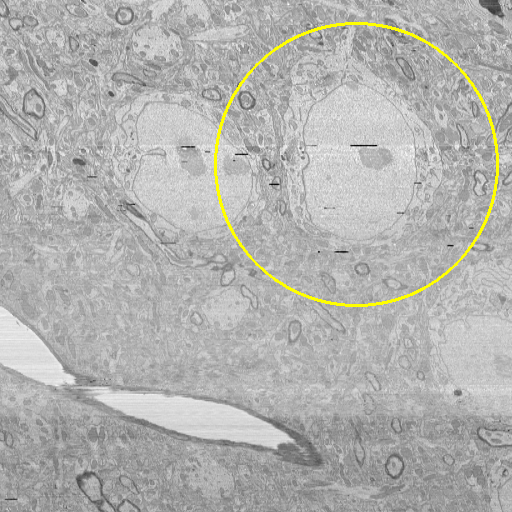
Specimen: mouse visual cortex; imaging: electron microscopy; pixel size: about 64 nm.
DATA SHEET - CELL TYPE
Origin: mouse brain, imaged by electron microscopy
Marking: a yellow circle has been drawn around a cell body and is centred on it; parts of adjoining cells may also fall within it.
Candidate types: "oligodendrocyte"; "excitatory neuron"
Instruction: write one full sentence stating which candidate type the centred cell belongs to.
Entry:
The cell body at the centre of the yellow ring in this micrograph belongs to an excitatory neuron.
